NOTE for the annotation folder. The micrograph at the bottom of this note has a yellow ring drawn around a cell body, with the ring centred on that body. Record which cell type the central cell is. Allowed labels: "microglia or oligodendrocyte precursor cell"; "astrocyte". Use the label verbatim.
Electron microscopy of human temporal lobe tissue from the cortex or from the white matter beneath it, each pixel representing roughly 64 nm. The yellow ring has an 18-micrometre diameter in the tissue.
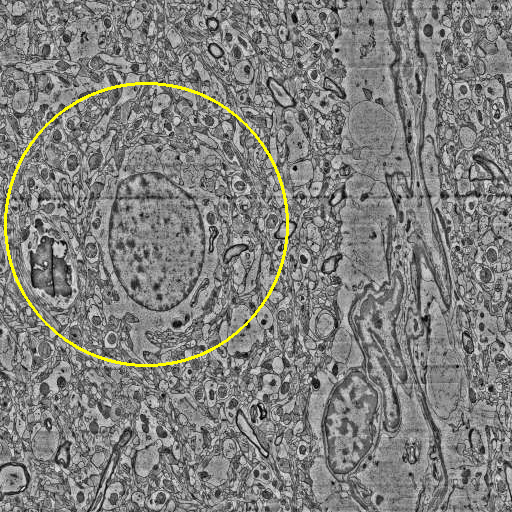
astrocyte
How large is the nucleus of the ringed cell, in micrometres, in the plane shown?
In this plane, approximately 9 by 6 micrometers.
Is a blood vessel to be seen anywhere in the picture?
Yes, one shows.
